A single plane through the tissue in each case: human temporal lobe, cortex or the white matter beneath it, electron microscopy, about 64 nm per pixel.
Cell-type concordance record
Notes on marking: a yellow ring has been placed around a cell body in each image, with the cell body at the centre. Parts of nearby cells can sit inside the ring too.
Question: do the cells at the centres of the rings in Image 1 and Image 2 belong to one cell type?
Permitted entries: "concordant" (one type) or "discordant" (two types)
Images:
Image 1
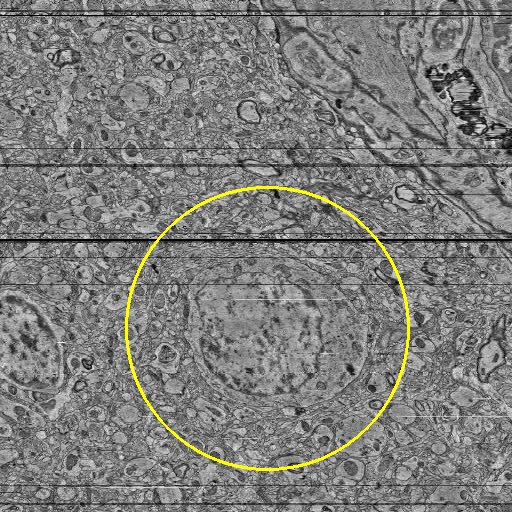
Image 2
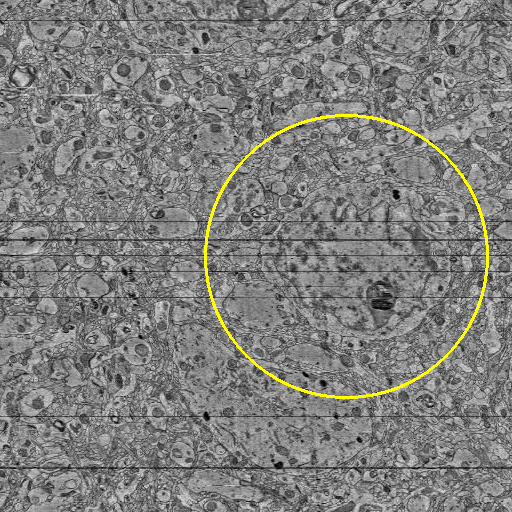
concordant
